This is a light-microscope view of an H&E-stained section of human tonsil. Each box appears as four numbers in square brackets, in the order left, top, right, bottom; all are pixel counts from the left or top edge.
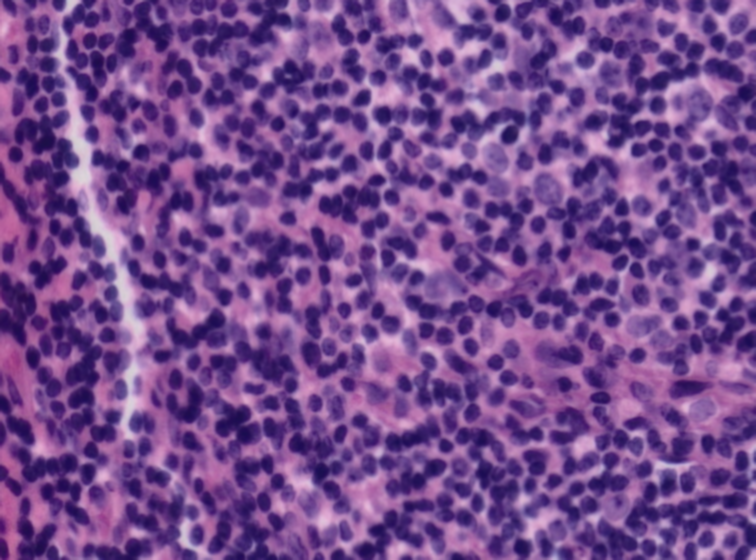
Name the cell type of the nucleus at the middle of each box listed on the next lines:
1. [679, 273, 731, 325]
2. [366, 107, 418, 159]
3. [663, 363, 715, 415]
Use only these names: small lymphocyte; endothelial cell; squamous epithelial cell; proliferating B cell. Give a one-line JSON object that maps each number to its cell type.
{"1": "small lymphocyte", "2": "small lymphocyte", "3": "endothelial cell"}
